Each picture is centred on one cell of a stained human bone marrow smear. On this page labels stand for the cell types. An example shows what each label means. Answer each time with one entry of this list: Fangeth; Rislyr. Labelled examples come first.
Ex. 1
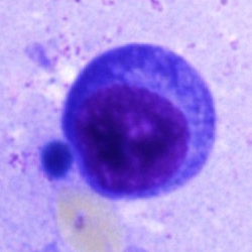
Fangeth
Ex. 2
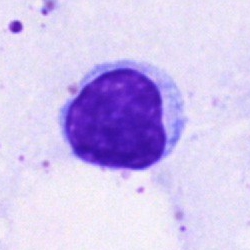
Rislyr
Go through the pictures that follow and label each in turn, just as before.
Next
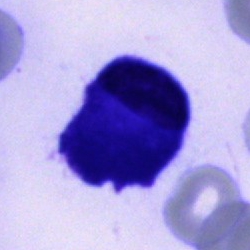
Fangeth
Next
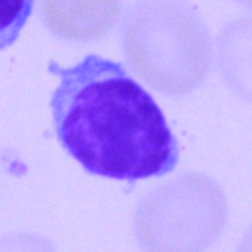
Rislyr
